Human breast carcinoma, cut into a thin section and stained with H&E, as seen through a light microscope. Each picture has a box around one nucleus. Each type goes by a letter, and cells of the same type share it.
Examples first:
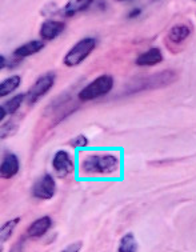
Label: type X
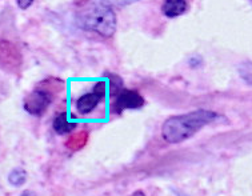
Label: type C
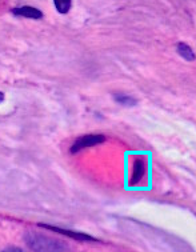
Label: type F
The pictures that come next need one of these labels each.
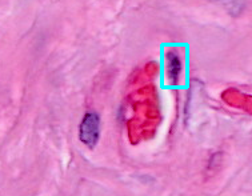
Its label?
type F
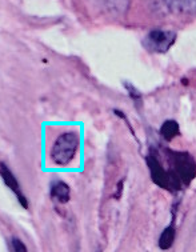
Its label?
type X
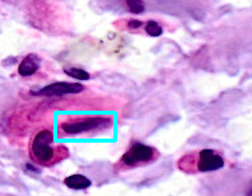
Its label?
type F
